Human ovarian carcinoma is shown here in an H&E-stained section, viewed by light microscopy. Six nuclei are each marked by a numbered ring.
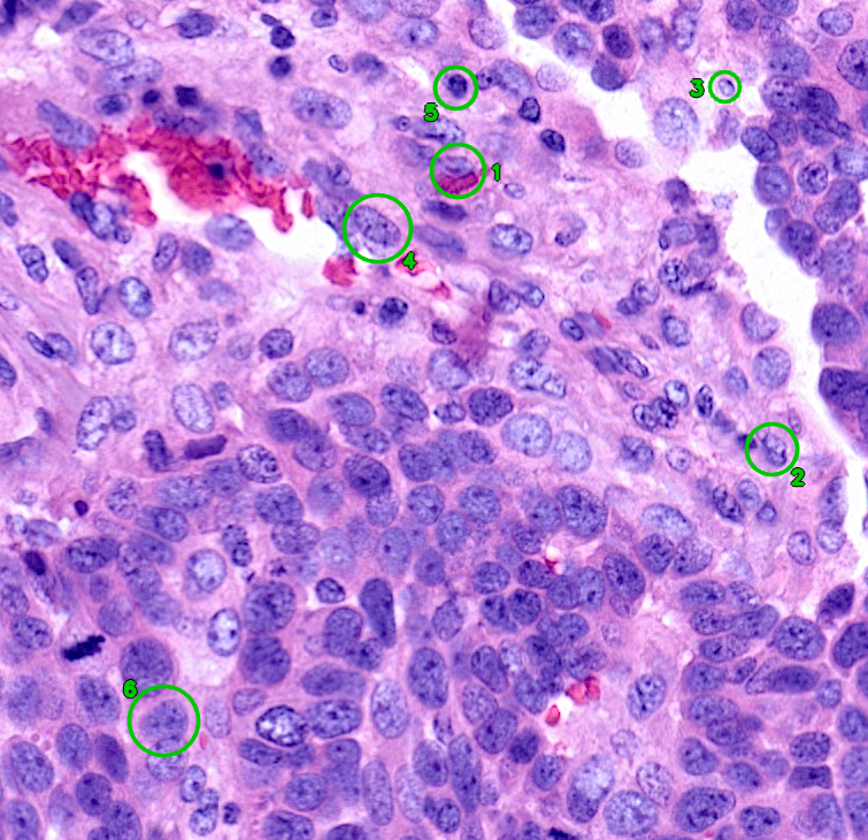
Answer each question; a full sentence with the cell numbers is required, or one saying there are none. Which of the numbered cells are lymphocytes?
Whereas cell 5 is a lymphocyte, the other numbered cells are not.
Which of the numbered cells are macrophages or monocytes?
Only nucleus 3 belongs to a macrophage or monocyte; the other numbered nuclei do not.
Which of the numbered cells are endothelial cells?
Here, the cells that carry numbers 1 and 4 are endothelial cells.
